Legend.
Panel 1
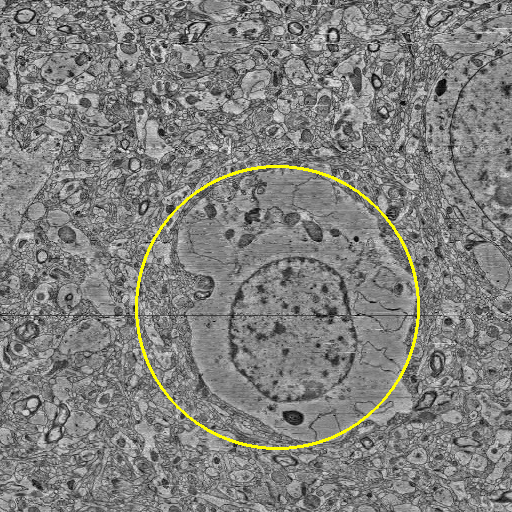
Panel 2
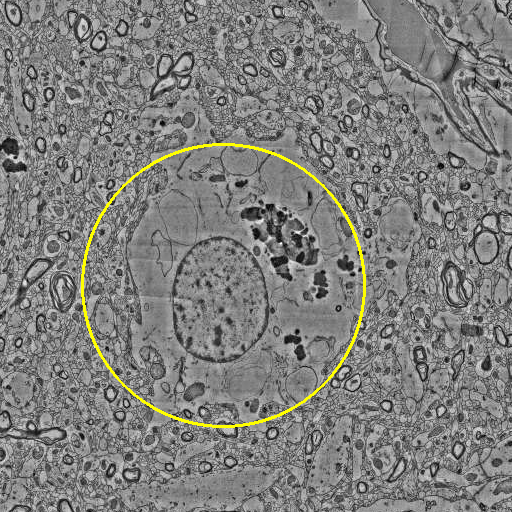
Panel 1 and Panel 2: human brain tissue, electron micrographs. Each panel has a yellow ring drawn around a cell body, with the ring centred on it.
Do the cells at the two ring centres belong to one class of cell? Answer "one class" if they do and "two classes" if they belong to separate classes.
one class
